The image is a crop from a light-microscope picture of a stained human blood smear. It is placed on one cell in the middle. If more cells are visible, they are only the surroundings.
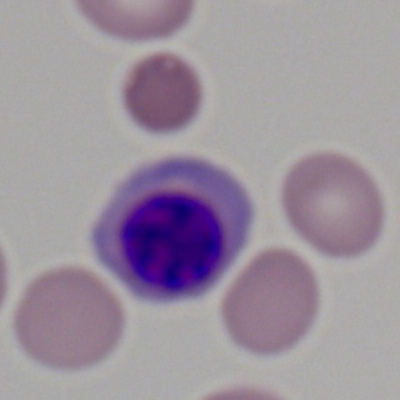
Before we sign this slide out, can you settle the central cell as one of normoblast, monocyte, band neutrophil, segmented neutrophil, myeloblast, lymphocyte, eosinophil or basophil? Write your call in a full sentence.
The cell in the middle of this crop is a normoblast.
